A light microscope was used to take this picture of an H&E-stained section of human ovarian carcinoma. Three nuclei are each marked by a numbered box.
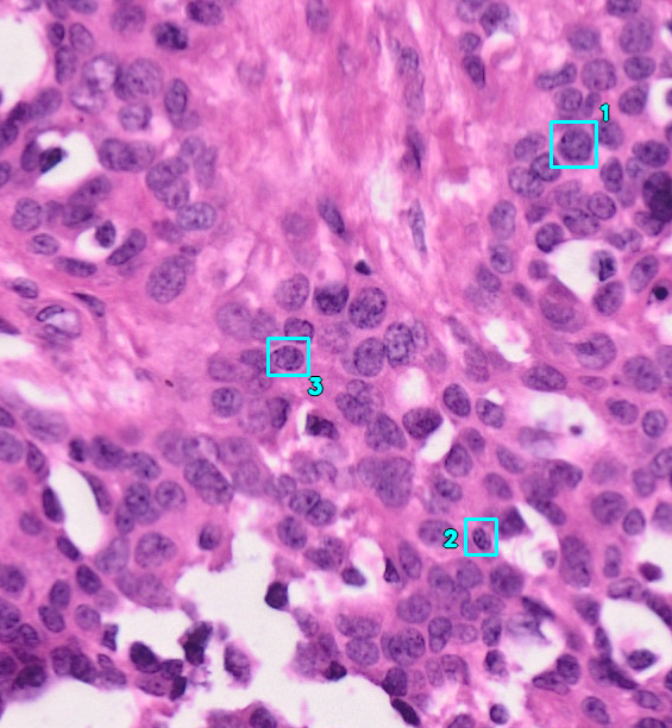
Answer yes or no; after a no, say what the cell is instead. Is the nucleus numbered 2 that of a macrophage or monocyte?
Yes.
